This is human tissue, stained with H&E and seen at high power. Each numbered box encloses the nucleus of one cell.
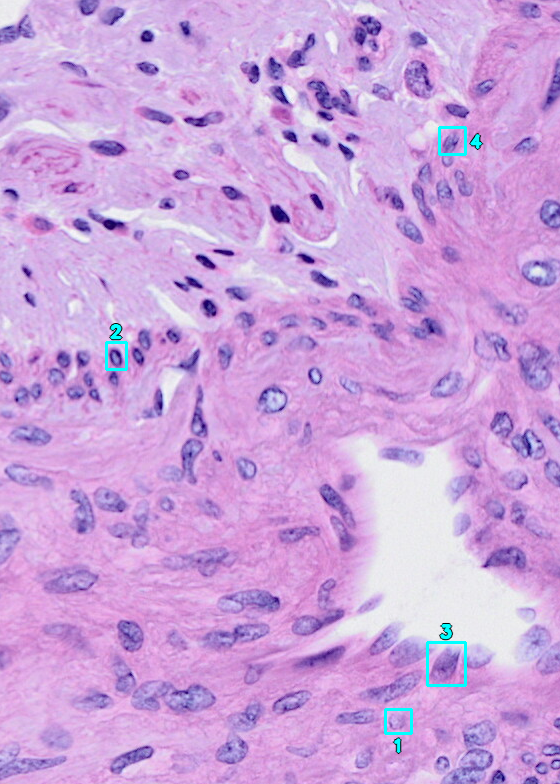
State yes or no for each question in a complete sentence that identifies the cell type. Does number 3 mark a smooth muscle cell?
No, cell number 3 is identified as an endothelial cell, not as a smooth muscle cell.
